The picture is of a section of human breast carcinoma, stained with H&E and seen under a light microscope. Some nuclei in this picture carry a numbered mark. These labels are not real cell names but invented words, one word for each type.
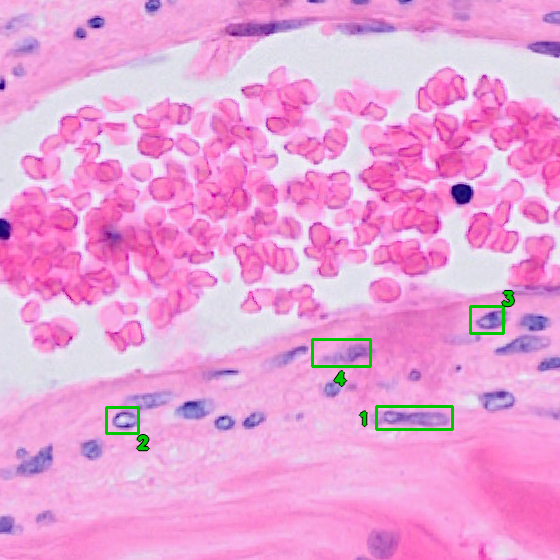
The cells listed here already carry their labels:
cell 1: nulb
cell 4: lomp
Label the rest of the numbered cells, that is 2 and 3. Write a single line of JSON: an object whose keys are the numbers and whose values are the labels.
{"2": "lomp", "3": "lomp"}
